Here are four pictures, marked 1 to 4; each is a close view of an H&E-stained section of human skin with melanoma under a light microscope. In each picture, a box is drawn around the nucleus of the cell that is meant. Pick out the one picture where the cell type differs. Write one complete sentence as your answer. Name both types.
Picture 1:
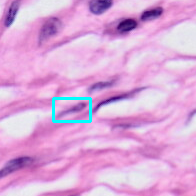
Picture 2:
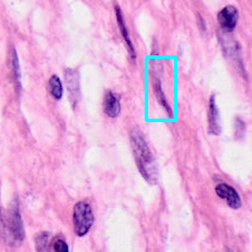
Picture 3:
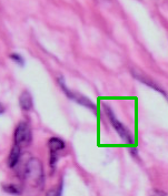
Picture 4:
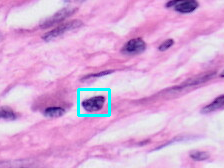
The others show “fibroblasts or myofibroblasts”, but picture 4 shows a lymphocyte.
